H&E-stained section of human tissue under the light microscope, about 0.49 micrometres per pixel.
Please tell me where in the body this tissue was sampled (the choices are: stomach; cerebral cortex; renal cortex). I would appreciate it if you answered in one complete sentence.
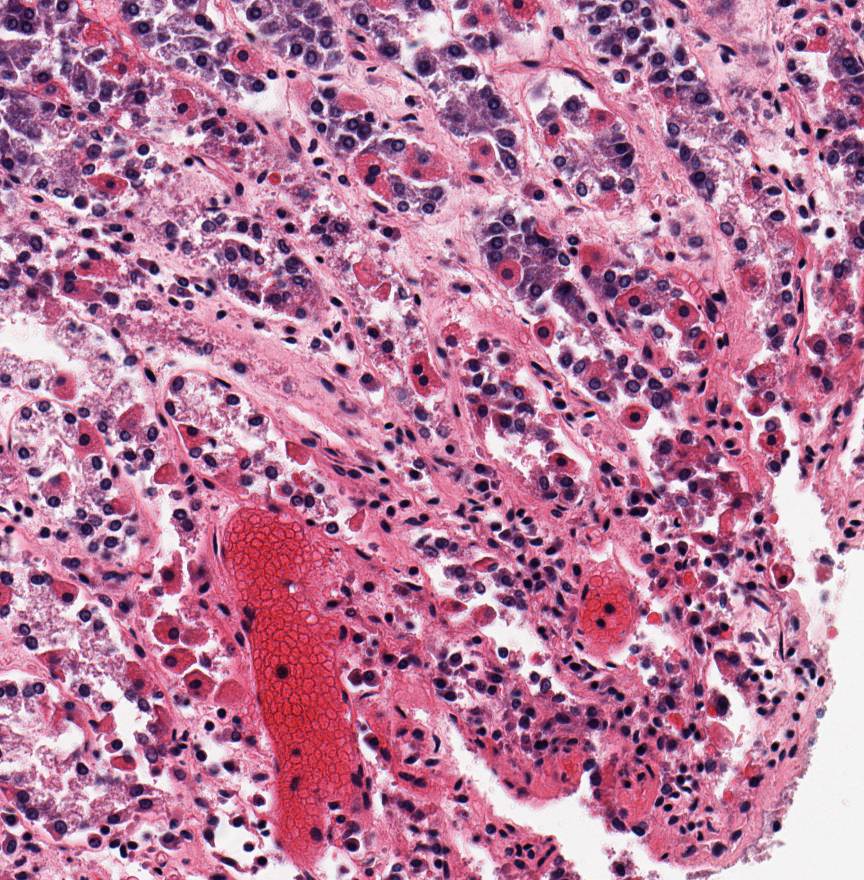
It is from the stomach that this section was cut.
